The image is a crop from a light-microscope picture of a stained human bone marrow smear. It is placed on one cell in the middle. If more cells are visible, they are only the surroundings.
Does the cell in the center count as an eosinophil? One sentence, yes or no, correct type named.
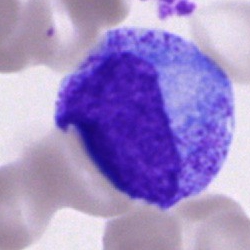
No, the cell in the centre is a promyelocyte instead of an eosinophil.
